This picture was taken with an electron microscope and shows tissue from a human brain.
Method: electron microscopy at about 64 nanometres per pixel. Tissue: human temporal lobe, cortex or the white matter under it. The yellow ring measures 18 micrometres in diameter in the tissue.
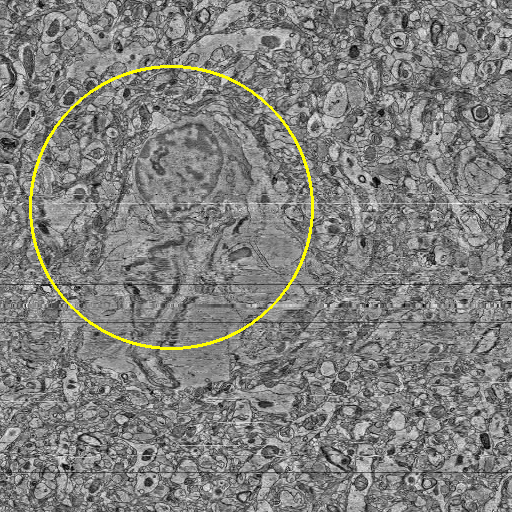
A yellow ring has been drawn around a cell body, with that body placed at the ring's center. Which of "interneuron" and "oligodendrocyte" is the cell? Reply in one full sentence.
In this picture, an oligodendrocyte is the cell at the center of the yellow ring.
